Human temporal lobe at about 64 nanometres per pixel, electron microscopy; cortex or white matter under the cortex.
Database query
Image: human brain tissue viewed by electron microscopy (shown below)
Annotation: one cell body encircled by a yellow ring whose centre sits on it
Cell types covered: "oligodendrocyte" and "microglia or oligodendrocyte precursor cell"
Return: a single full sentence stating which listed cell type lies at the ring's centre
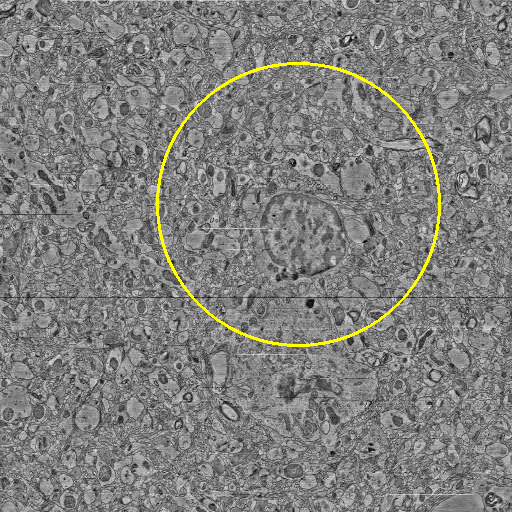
In the image, the cell lying at the ring's centre is an oligodendrocyte.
